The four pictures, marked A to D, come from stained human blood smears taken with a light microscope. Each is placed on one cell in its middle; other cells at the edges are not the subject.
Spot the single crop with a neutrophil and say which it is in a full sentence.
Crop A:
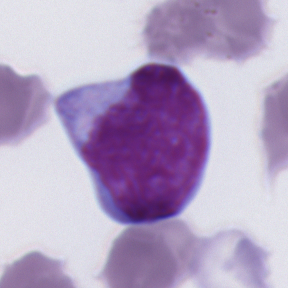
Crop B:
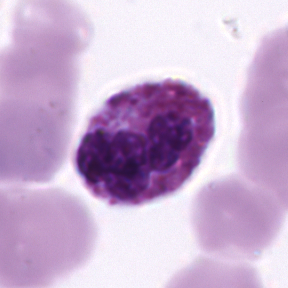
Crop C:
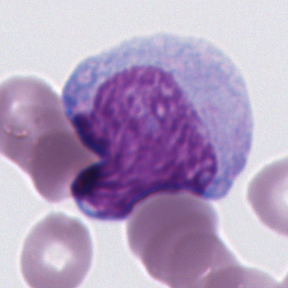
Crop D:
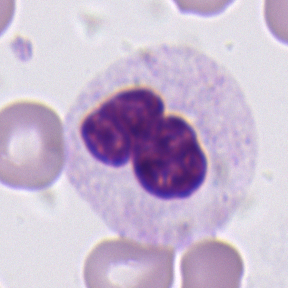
Crop D is the crop featuring a neutrophil at its center.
